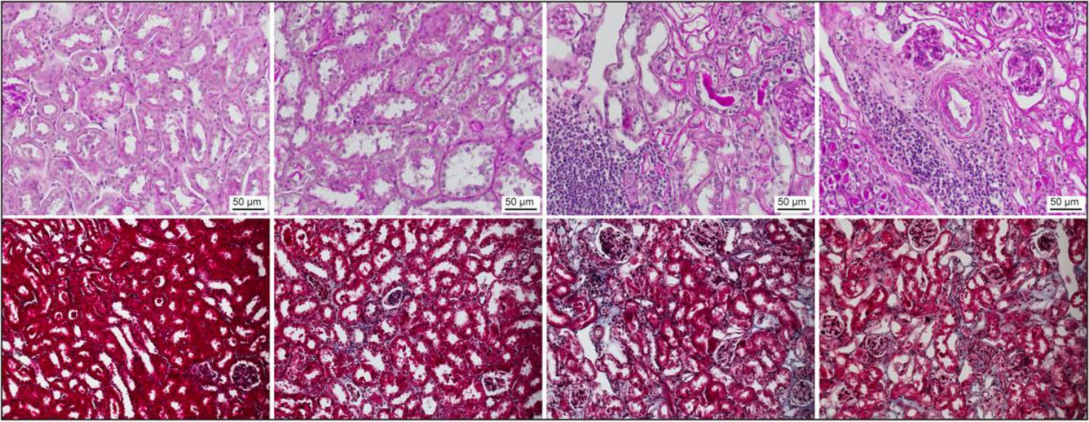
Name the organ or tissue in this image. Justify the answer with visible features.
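Kidney. Many round and oval tubular profiles lined by a single layer of epithelial cells with open lumens. Rounded glomerular tufts surrounded by a clear space appear in several frames.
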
